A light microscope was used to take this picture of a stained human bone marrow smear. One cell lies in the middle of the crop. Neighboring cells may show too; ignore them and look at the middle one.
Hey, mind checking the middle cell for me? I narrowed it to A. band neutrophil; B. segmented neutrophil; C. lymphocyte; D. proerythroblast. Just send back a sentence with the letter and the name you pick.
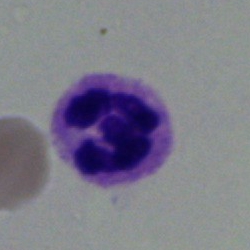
That the central cell is a segmented neutrophil makes option B correct.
